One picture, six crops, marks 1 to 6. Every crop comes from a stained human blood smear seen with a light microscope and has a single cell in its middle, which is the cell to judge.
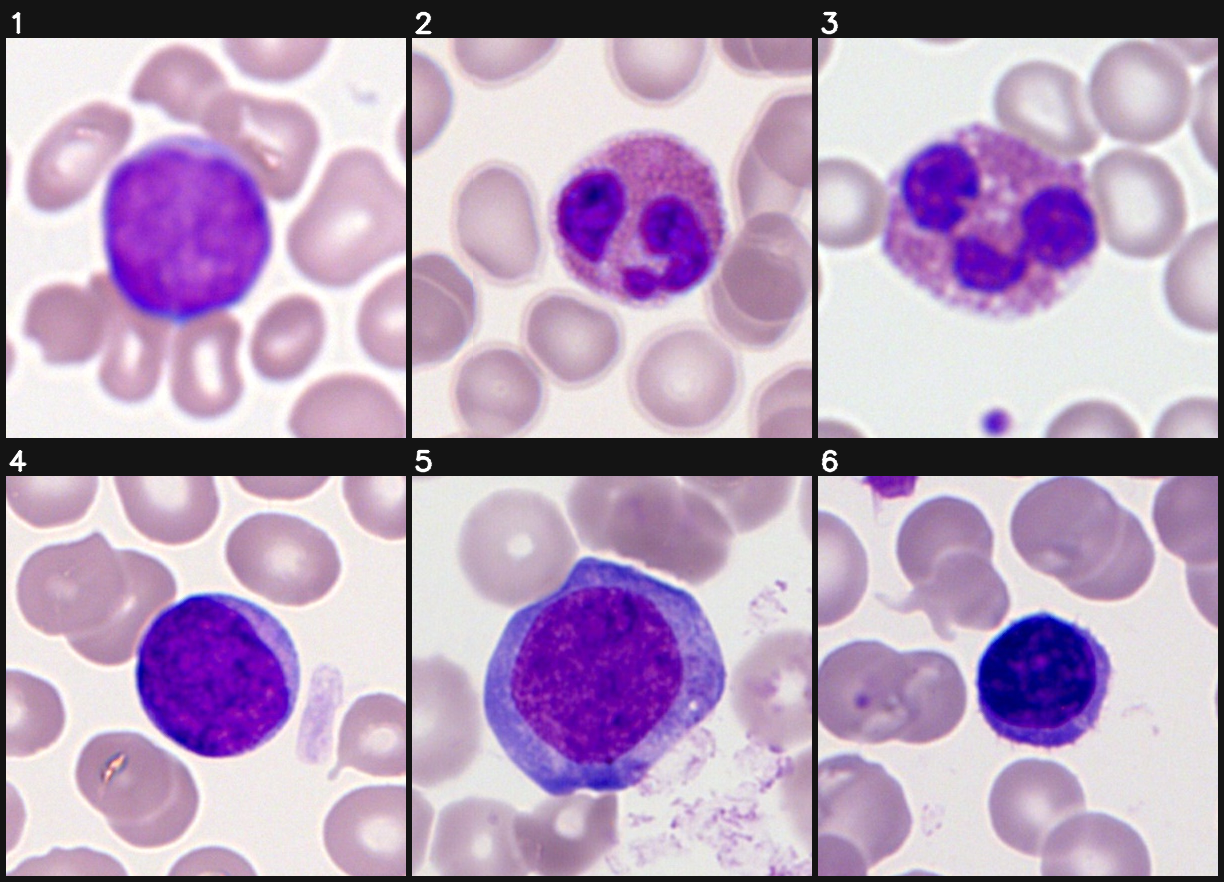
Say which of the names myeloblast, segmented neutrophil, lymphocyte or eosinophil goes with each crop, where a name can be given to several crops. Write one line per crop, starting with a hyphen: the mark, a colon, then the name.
- 1: myeloblast
- 2: eosinophil
- 3: eosinophil
- 4: myeloblast
- 5: myeloblast
- 6: lymphocyte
